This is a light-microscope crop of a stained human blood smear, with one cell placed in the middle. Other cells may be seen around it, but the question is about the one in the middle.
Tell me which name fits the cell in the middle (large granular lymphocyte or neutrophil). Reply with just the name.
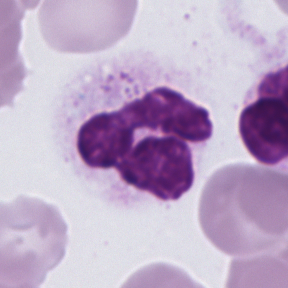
neutrophil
